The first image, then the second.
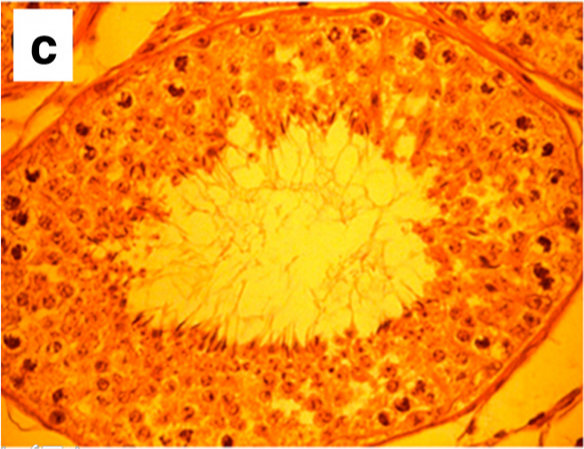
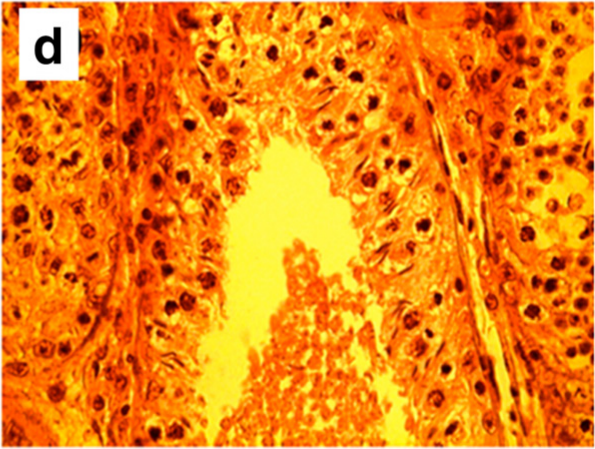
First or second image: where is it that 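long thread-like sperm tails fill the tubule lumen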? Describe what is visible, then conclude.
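The first image. Second image: the lumen holds granular debris and loose cells without long threads. First image: a fine meshwork of long threads fills the lumen.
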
